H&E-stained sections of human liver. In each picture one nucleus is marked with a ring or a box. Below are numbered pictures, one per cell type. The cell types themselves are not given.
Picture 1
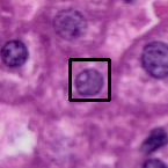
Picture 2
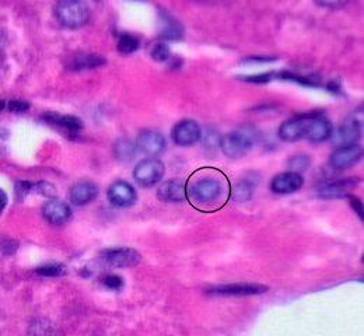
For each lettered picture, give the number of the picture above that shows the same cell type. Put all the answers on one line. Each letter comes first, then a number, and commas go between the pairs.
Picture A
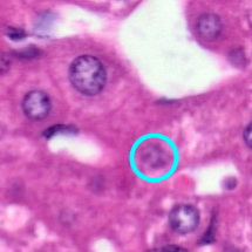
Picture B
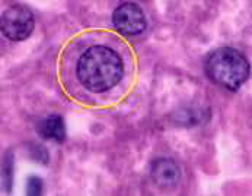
A 1, B 1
